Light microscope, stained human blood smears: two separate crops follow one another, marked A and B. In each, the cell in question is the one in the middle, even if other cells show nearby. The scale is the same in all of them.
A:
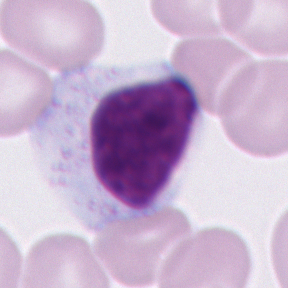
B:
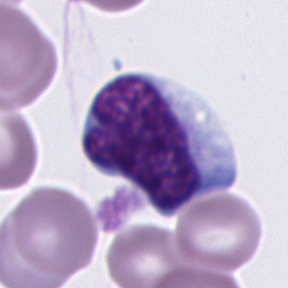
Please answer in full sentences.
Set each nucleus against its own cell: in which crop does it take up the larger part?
In picture B the nucleus takes up the larger part of its cell.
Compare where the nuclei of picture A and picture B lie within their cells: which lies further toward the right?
Seen within its cell, the nucleus in picture A lies further toward the right.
